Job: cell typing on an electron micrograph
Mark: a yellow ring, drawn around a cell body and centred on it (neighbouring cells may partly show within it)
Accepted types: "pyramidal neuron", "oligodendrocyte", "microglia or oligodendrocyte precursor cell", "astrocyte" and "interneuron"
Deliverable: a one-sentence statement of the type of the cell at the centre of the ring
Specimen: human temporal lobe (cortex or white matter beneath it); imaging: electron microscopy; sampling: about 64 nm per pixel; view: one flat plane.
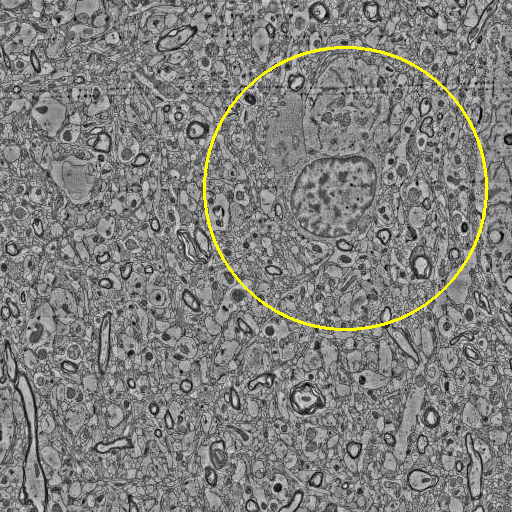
The centred cell body is that of an oligodendrocyte.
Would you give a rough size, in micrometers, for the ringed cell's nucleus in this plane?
Roughly 6 micrometres by 5 micrometres, in this plane.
